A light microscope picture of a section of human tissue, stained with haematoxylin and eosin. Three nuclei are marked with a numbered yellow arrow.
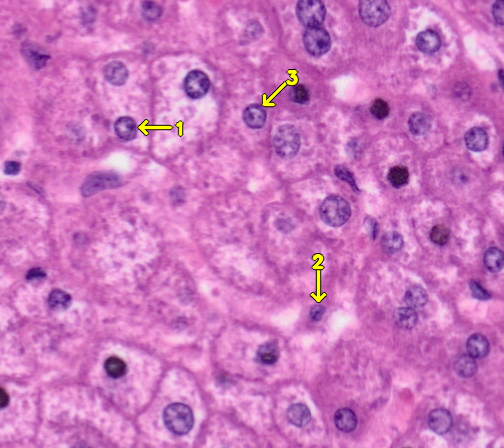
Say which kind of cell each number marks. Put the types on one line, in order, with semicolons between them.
hepatocyte; Kupffer cell; hepatocyte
